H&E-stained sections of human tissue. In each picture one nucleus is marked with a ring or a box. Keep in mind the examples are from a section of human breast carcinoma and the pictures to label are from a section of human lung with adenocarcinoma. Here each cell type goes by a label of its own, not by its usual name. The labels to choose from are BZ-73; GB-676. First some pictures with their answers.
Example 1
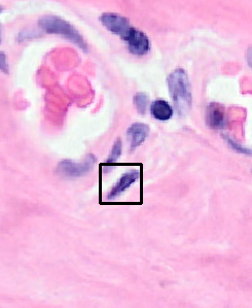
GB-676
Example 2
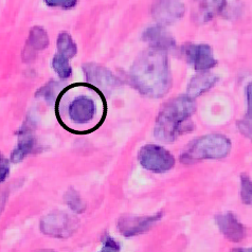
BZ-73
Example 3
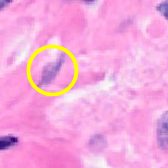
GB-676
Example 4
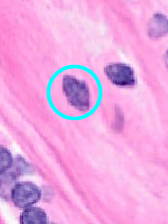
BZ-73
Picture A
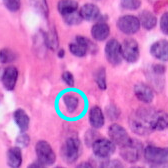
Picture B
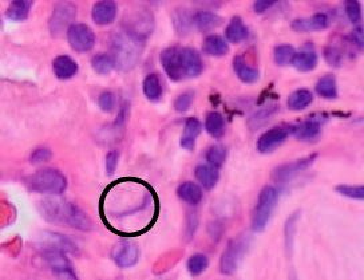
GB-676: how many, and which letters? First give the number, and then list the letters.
1: B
